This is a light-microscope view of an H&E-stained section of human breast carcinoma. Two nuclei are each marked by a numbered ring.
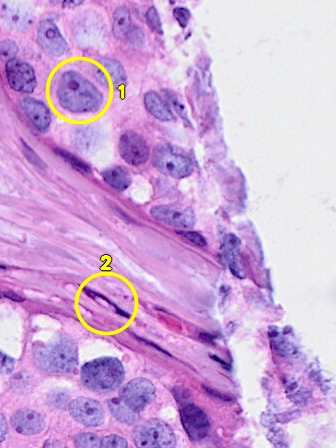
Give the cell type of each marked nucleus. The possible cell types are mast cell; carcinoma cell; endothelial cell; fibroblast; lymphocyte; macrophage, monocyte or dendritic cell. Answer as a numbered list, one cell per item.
1. carcinoma cell
2. fibroblast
